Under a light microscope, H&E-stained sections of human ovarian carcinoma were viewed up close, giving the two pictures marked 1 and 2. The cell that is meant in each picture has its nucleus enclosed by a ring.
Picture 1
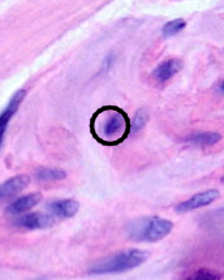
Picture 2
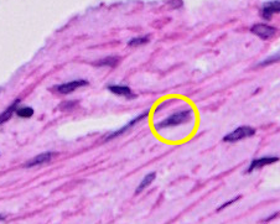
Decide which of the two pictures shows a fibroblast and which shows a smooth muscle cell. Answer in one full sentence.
Picture 1 is of a smooth muscle cell, and picture 2 is of a fibroblast.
